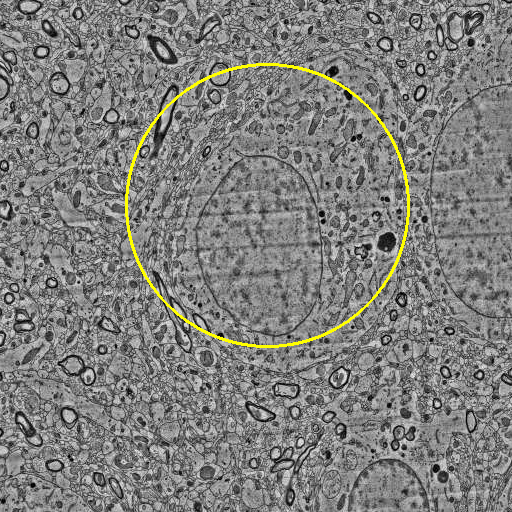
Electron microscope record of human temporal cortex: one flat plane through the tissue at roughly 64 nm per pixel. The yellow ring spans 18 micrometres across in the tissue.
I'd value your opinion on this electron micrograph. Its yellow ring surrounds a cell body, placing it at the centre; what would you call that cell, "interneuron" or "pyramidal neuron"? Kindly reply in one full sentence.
It is a pyramidal neuron that sits centred within the yellow ring in this micrograph.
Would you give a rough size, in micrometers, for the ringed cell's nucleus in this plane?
The nucleus works out at approximately 12 by 8 micrometres in this plane.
